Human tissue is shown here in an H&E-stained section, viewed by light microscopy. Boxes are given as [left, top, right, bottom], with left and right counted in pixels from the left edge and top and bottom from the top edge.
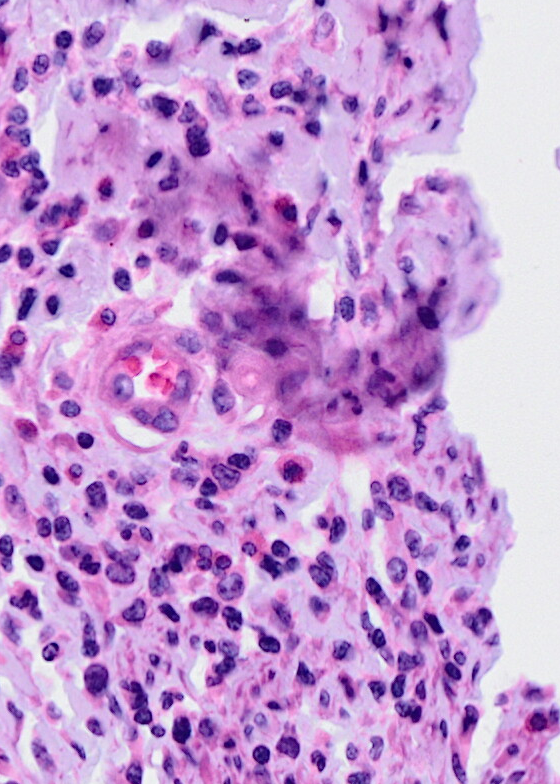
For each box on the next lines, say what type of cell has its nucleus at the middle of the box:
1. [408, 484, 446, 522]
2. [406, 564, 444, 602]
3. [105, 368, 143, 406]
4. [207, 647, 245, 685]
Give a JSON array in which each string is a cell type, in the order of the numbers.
["lymphocyte", "lymphocyte", "endothelial cell", "lymphocyte"]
